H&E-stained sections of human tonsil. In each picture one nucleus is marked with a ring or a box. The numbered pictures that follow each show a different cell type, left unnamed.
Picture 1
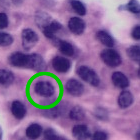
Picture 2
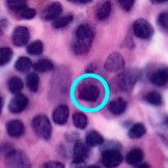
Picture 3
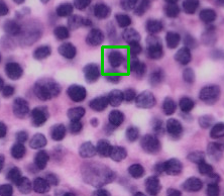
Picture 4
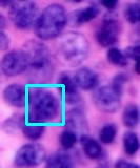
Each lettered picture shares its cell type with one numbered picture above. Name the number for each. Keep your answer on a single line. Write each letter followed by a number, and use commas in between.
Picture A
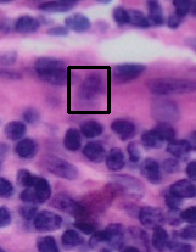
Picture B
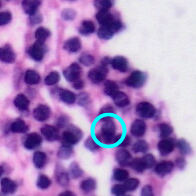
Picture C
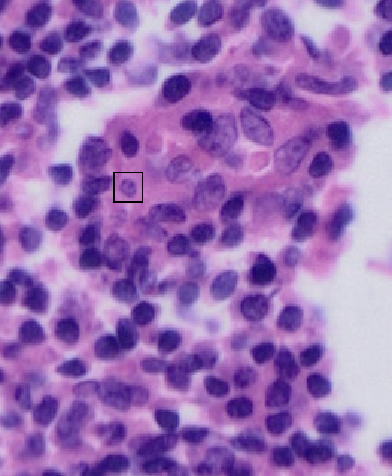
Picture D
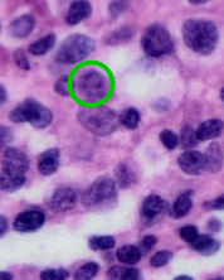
A 2, B 3, C 2, D 4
